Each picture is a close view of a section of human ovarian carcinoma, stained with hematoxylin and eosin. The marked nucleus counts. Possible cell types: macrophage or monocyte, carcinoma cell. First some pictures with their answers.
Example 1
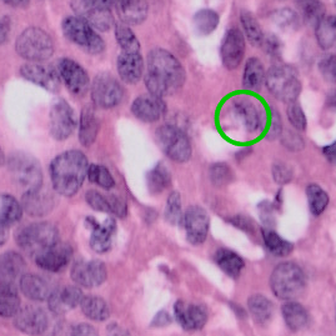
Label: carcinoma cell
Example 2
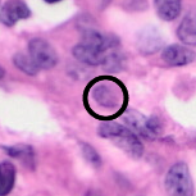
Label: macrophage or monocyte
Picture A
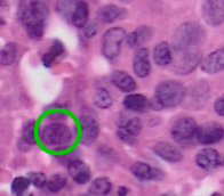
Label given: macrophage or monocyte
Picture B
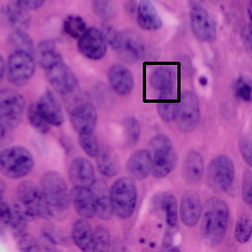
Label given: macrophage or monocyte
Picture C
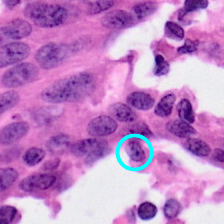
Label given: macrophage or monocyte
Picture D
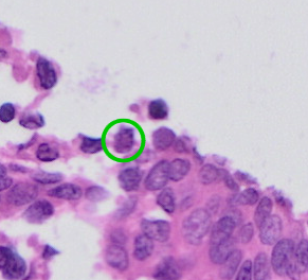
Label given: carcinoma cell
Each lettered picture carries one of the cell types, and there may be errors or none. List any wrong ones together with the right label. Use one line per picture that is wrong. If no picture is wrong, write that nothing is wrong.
A should be carcinoma cell, not macrophage or monocyte
B should be carcinoma cell, not macrophage or monocyte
